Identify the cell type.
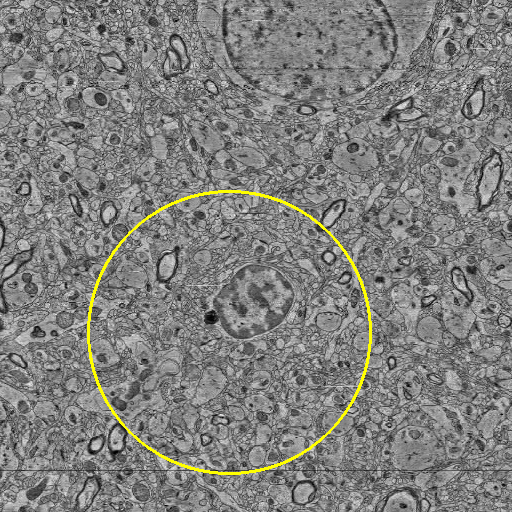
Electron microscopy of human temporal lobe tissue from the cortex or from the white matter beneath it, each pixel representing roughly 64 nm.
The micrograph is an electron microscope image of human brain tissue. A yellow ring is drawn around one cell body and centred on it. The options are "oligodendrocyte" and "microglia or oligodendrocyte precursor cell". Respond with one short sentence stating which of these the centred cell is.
The cell body in the ring belongs to a microglial cell or oligodendrocyte precursor cell.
